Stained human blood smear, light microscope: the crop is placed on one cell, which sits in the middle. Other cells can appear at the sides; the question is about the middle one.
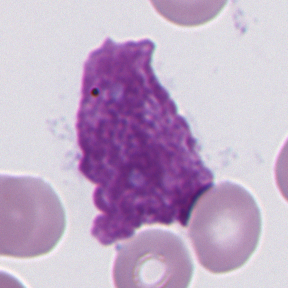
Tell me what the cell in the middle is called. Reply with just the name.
smudge cell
